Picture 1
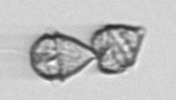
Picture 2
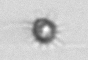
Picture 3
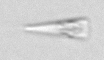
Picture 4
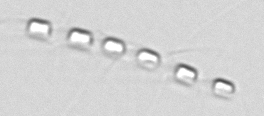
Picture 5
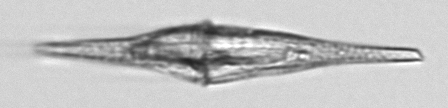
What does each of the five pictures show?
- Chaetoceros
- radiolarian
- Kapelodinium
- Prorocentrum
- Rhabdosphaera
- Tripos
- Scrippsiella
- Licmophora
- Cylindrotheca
Picture 1: Scrippsiella
Picture 2: Rhabdosphaera
Picture 3: Licmophora
Picture 4: Chaetoceros
Picture 5: Tripos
